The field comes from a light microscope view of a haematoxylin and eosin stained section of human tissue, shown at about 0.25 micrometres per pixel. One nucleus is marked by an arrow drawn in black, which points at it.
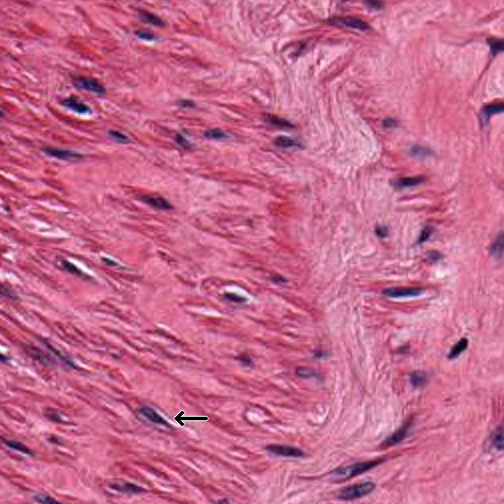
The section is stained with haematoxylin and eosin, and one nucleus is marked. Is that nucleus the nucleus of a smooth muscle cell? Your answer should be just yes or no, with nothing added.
yes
